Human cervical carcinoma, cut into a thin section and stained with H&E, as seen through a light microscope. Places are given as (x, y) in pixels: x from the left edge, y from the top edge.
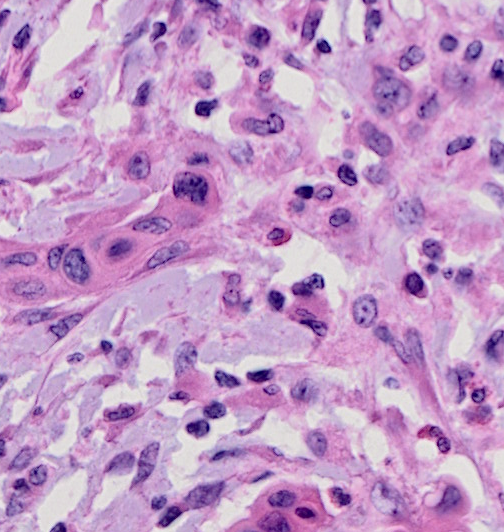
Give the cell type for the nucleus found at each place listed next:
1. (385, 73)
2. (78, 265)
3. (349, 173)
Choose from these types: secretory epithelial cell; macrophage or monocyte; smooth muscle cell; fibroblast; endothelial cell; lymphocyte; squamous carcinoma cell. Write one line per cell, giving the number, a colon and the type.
1: endothelial cell
2: squamous carcinoma cell
3: lymphocyte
